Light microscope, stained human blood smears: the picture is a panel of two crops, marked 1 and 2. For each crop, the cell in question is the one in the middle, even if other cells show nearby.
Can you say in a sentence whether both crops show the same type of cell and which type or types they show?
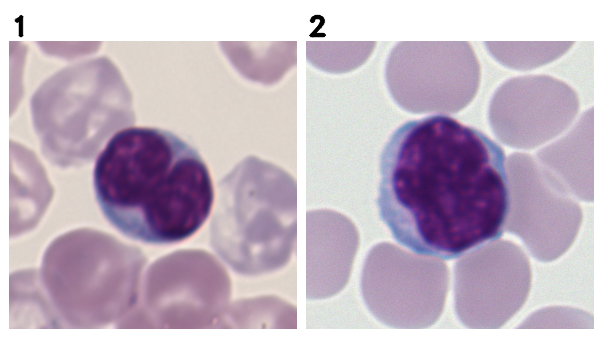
Yes, the middle cells in both crops are indeed typical lymphocytes.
